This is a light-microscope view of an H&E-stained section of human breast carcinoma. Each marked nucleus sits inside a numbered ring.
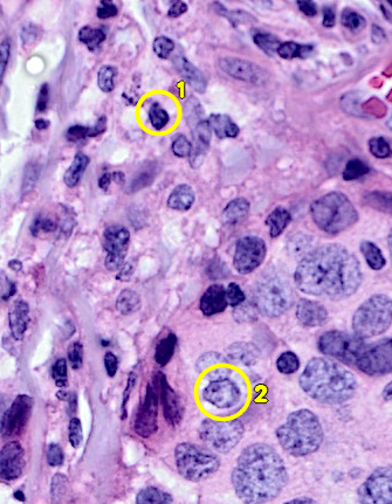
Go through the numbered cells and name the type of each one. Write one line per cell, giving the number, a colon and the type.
1: lymphocyte
2: carcinoma cell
